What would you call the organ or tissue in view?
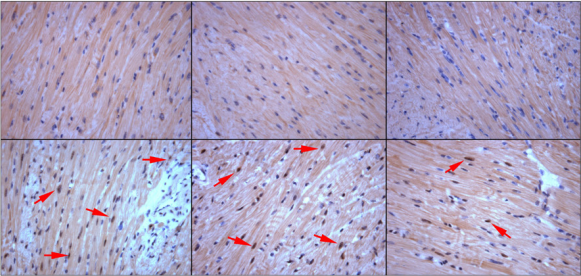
Myocardium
